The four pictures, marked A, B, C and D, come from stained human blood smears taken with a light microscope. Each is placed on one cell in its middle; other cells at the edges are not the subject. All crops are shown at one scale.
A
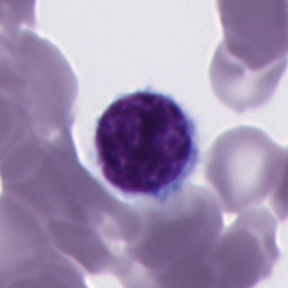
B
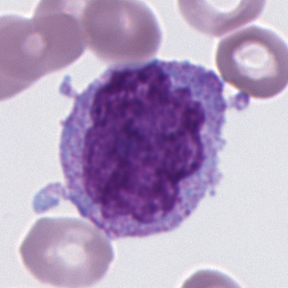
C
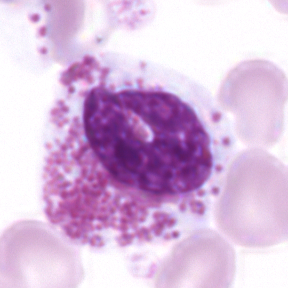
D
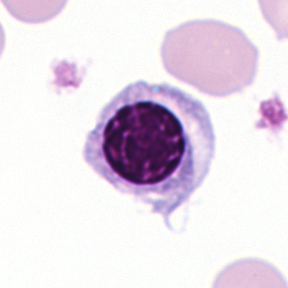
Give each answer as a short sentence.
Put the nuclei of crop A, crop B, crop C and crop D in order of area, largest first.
Going down, they run B, C, A, D.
